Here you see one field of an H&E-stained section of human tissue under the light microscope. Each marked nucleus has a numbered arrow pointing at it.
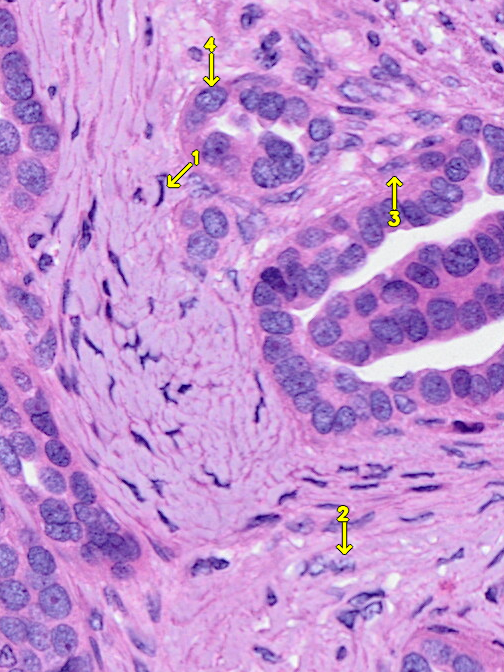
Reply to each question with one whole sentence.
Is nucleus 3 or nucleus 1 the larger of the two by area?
At about 1.5 times the area of nucleus 1, nucleus 3 is the larger of the two.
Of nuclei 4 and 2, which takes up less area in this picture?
With nucleus 4 about 1.5 times its size, nucleus 2 is the smaller of the two.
